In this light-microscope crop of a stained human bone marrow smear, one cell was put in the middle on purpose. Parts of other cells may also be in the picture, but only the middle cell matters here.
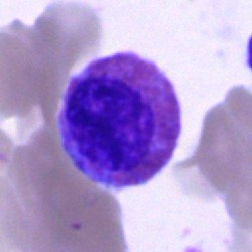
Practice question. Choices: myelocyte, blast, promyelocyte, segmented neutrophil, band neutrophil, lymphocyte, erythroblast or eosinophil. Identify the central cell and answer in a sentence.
The cell sitting right in the middle is an eosinophil.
